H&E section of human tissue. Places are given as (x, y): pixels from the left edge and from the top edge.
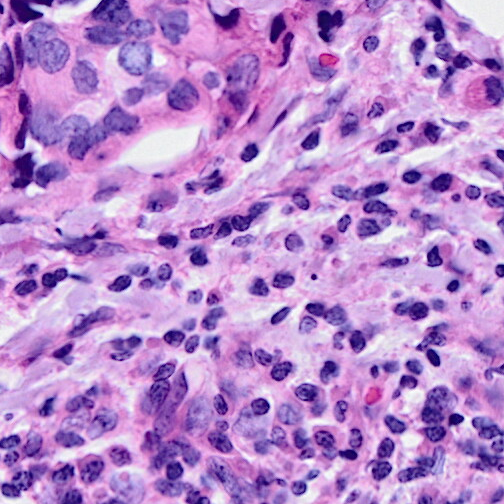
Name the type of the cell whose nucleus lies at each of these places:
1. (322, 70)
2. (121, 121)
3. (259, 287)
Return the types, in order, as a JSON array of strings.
["endothelial cell", "carcinoma cell", "lymphocyte"]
